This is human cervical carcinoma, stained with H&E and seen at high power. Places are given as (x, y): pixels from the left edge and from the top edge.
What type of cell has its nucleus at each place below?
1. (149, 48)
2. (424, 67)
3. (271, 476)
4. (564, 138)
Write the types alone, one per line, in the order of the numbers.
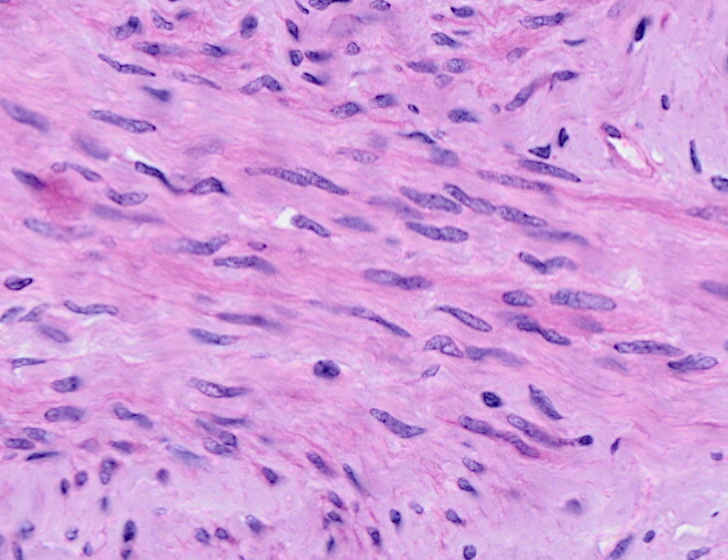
smooth muscle cell
smooth muscle cell
smooth muscle cell
fibroblast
